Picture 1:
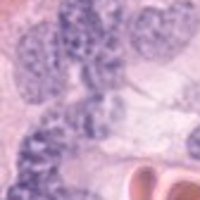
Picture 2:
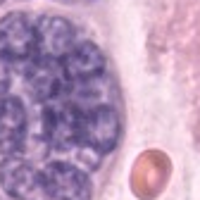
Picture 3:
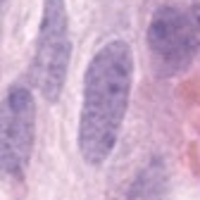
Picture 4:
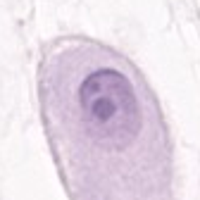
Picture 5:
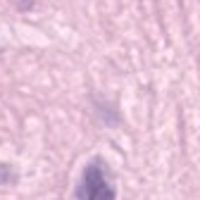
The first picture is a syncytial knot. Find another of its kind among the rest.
Picture 2.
